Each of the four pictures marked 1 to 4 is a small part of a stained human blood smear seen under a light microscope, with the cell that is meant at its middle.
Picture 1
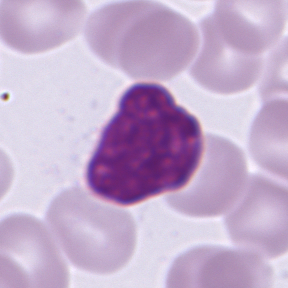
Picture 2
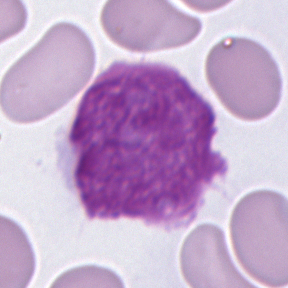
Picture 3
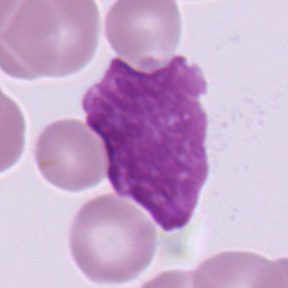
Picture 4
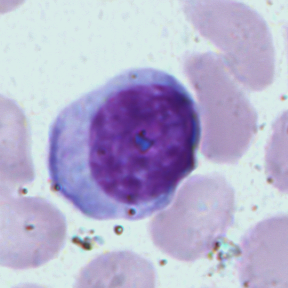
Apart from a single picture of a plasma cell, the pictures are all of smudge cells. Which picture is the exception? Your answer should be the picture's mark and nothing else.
4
